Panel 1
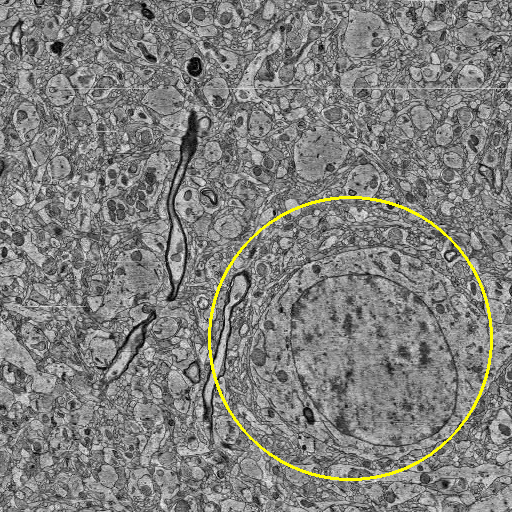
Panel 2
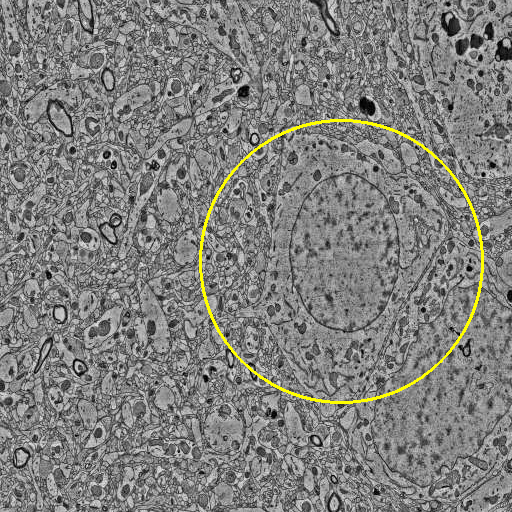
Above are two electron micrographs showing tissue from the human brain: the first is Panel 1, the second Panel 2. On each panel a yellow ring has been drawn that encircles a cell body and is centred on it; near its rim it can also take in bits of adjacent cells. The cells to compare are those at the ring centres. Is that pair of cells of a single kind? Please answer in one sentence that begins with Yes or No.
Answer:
Yes, the ring-centred cells of Panel 1 and Panel 2 belong to one kind.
